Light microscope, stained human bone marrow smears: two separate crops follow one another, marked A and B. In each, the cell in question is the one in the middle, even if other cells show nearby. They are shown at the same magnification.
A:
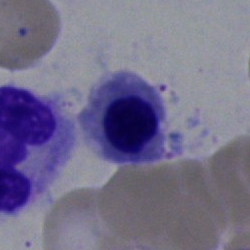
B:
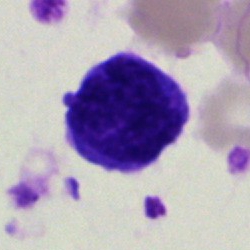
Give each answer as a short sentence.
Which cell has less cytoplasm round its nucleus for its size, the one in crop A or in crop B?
It is the cell in crop B that is filled more by its nucleus.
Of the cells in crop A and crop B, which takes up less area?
The cell in crop A is smaller; the one in crop B has about 2 times its area.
